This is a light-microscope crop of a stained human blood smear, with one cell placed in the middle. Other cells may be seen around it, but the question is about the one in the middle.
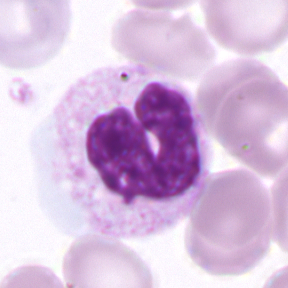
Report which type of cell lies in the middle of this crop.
band neutrophil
